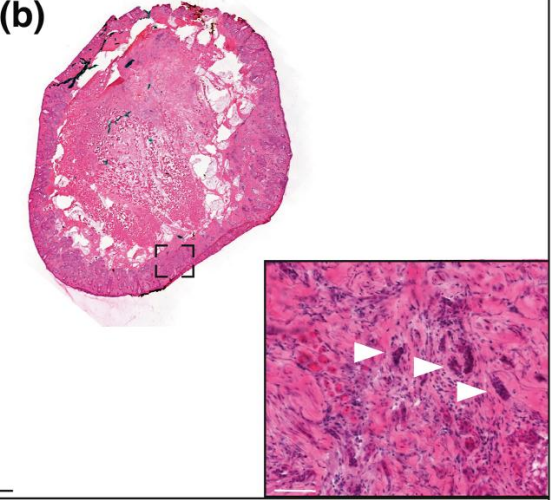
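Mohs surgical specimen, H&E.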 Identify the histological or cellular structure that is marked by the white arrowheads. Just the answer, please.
tumour cell clusters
